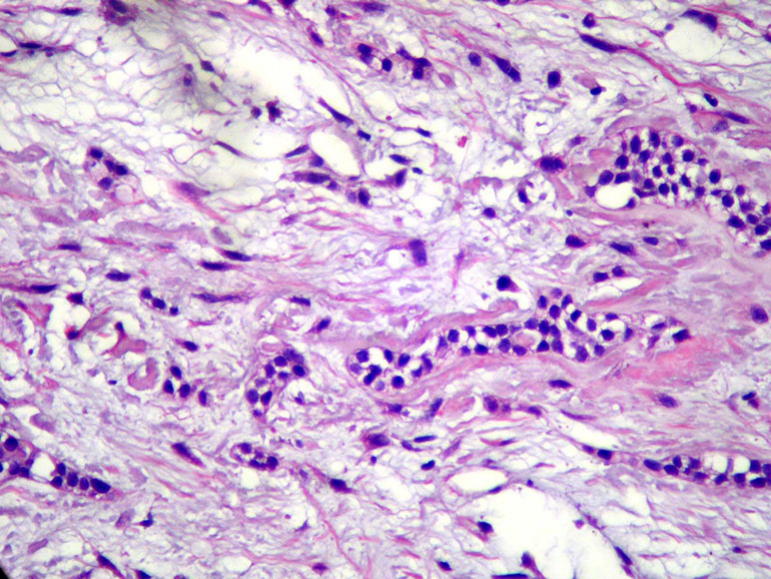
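This field shows a lesion made of fibrous connective tissue with narrow nests and strands of epithelial cells running through it. The epithelial strands are often only one or two cells thick, and they form short cords and small clusters. Their cells are small, with round, dark purple nuclei and little pale cytoplasm, and they look quiet, with no obvious signs of activity. Around them, the stroma is loose and pale, with wavy pink fibres and scattered spindle-shaped nuclei.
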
